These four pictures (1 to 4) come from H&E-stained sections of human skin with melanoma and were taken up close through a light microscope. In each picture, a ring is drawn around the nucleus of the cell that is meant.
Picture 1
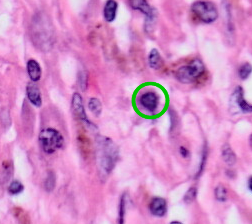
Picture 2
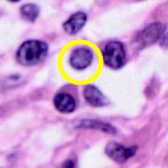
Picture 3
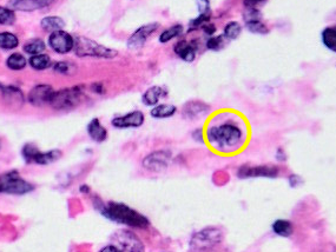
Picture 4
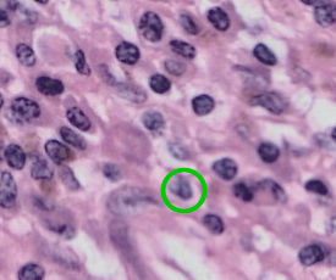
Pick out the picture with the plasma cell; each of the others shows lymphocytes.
1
